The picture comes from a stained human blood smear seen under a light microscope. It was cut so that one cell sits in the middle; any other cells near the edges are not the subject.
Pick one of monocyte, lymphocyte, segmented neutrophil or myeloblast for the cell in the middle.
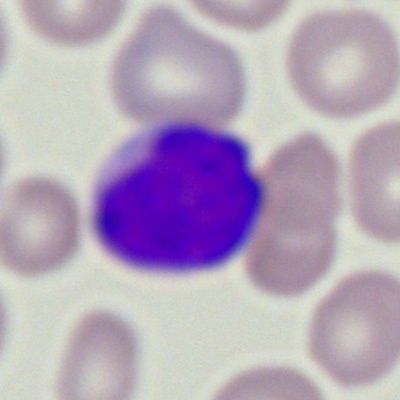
myeloblast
